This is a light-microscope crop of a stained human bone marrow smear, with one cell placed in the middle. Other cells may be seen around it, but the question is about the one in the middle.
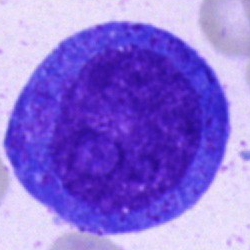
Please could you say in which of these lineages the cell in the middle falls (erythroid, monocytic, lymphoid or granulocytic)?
granulocytic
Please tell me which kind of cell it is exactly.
promyelocyte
